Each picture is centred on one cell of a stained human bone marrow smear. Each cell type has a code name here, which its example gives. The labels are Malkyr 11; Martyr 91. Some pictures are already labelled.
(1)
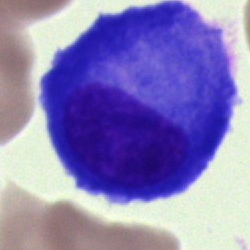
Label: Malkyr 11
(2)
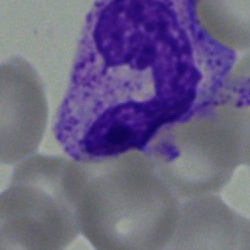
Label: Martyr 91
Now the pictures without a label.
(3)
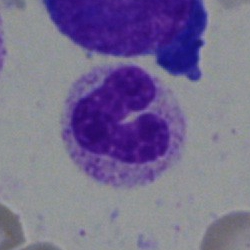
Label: Martyr 91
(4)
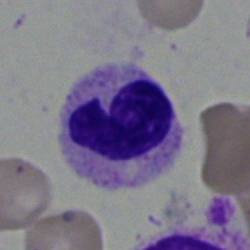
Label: Martyr 91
